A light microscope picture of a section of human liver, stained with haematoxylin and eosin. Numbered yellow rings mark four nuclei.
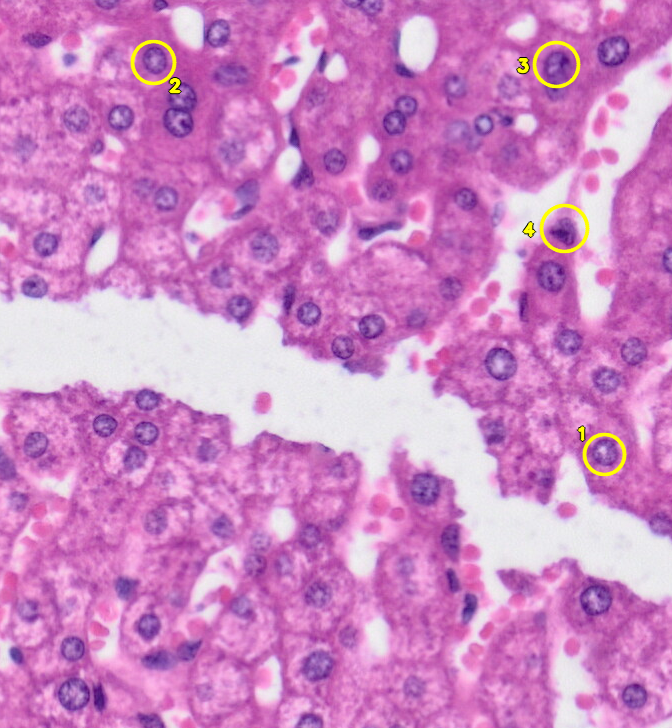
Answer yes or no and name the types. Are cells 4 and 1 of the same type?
No, here cell 4 is a Kupffer cell, whereas cell 1 is a hepatocyte.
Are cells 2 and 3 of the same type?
Yes, that is right: cells 2 and 3 are both hepatocytes.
